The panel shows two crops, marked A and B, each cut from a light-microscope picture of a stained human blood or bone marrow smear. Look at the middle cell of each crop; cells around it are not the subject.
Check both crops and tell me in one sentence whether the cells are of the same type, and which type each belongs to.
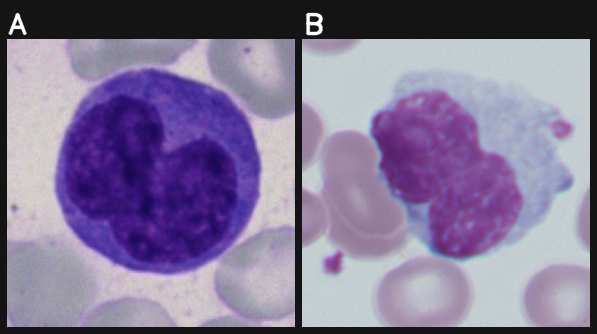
Yes, the cells found in the middle of both crops are monocytes.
